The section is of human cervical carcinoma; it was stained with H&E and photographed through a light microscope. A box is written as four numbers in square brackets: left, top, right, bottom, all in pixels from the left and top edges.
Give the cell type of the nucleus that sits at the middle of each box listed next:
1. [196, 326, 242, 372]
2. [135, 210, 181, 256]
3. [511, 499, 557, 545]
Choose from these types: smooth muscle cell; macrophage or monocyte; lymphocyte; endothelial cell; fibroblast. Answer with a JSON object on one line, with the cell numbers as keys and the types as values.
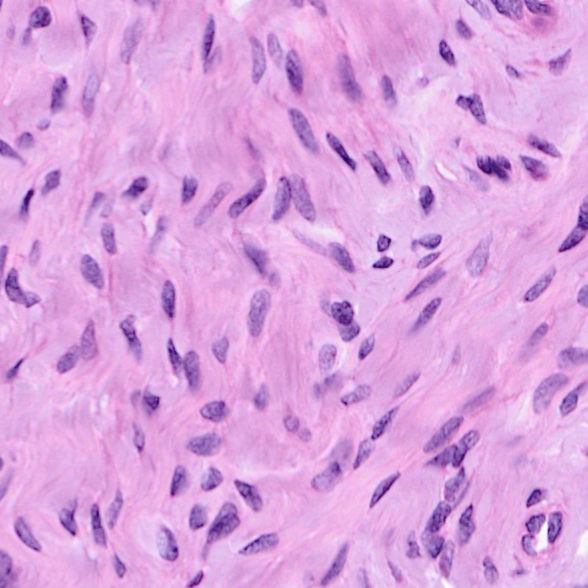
{"1": "fibroblast", "2": "fibroblast", "3": "endothelial cell"}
